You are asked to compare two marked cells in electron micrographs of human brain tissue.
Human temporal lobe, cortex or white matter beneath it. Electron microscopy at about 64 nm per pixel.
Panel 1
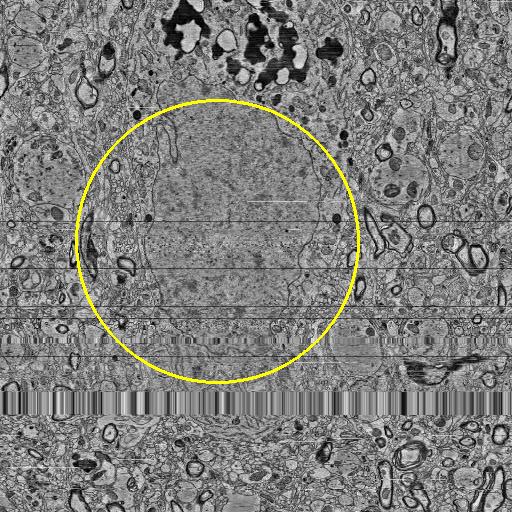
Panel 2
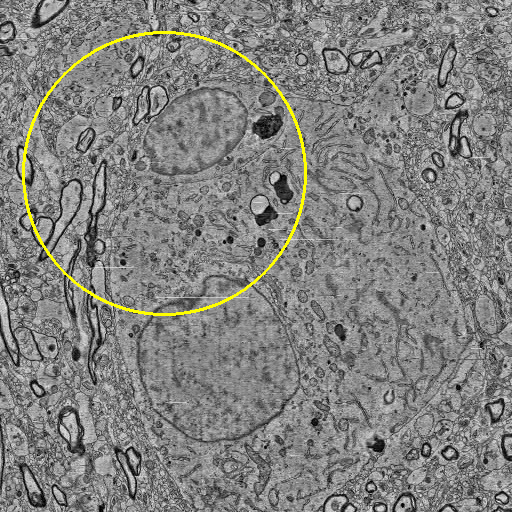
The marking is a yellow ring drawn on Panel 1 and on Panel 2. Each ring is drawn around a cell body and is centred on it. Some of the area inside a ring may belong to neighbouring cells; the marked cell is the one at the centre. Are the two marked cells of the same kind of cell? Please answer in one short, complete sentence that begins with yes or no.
No, the two marked cells are of two kinds.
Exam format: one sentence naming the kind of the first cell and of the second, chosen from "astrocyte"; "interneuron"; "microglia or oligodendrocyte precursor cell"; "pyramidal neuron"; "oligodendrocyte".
The first picture's cell is a pyramidal neuron, and the second picture's cell is an oligodendrocyte.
